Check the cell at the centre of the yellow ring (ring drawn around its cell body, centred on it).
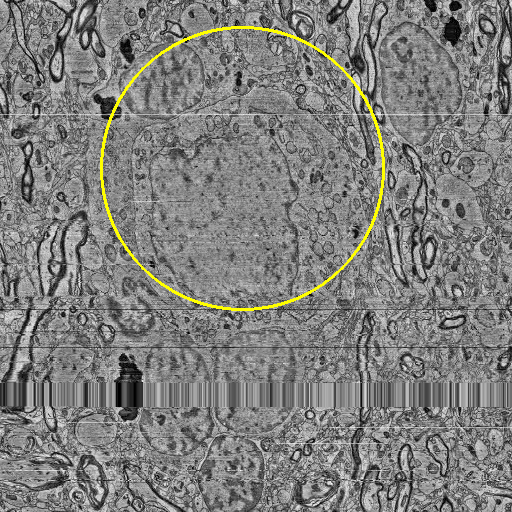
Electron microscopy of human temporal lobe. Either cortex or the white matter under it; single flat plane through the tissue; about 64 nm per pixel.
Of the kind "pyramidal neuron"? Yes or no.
no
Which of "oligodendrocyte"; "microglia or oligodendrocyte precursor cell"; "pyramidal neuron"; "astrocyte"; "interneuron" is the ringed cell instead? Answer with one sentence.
In this picture, the ring is centred on an interneuron.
